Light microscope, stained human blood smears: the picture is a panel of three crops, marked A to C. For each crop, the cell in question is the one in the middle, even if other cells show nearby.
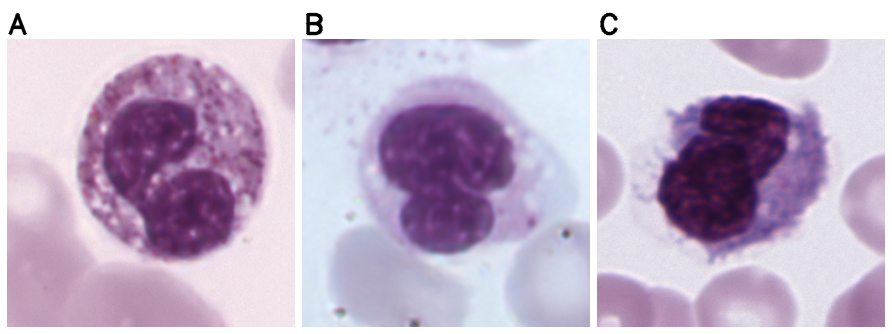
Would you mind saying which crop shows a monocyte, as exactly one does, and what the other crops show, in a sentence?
While crop A is an eosinophil and crop B is a band neutrophil, crop C shows a monocyte.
